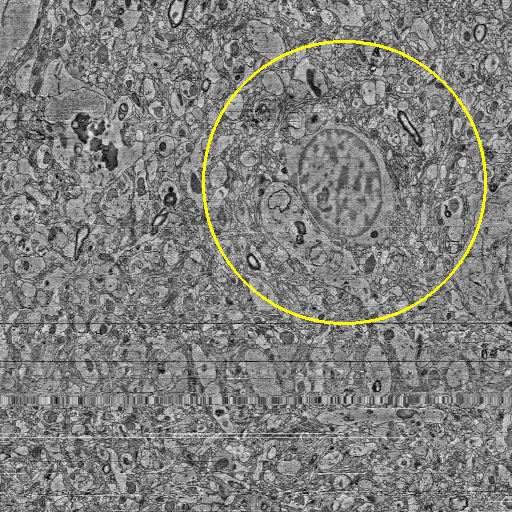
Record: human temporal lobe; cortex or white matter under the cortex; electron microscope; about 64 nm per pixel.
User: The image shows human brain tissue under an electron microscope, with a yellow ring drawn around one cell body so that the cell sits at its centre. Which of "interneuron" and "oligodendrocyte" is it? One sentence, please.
At the centre of the ring sits an oligodendrocyte.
